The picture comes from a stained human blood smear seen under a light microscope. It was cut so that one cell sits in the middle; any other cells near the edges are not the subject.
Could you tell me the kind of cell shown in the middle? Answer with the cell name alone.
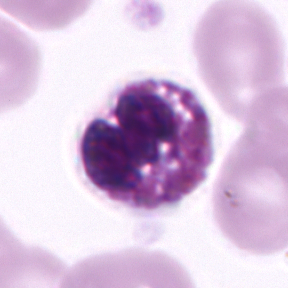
eosinophil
